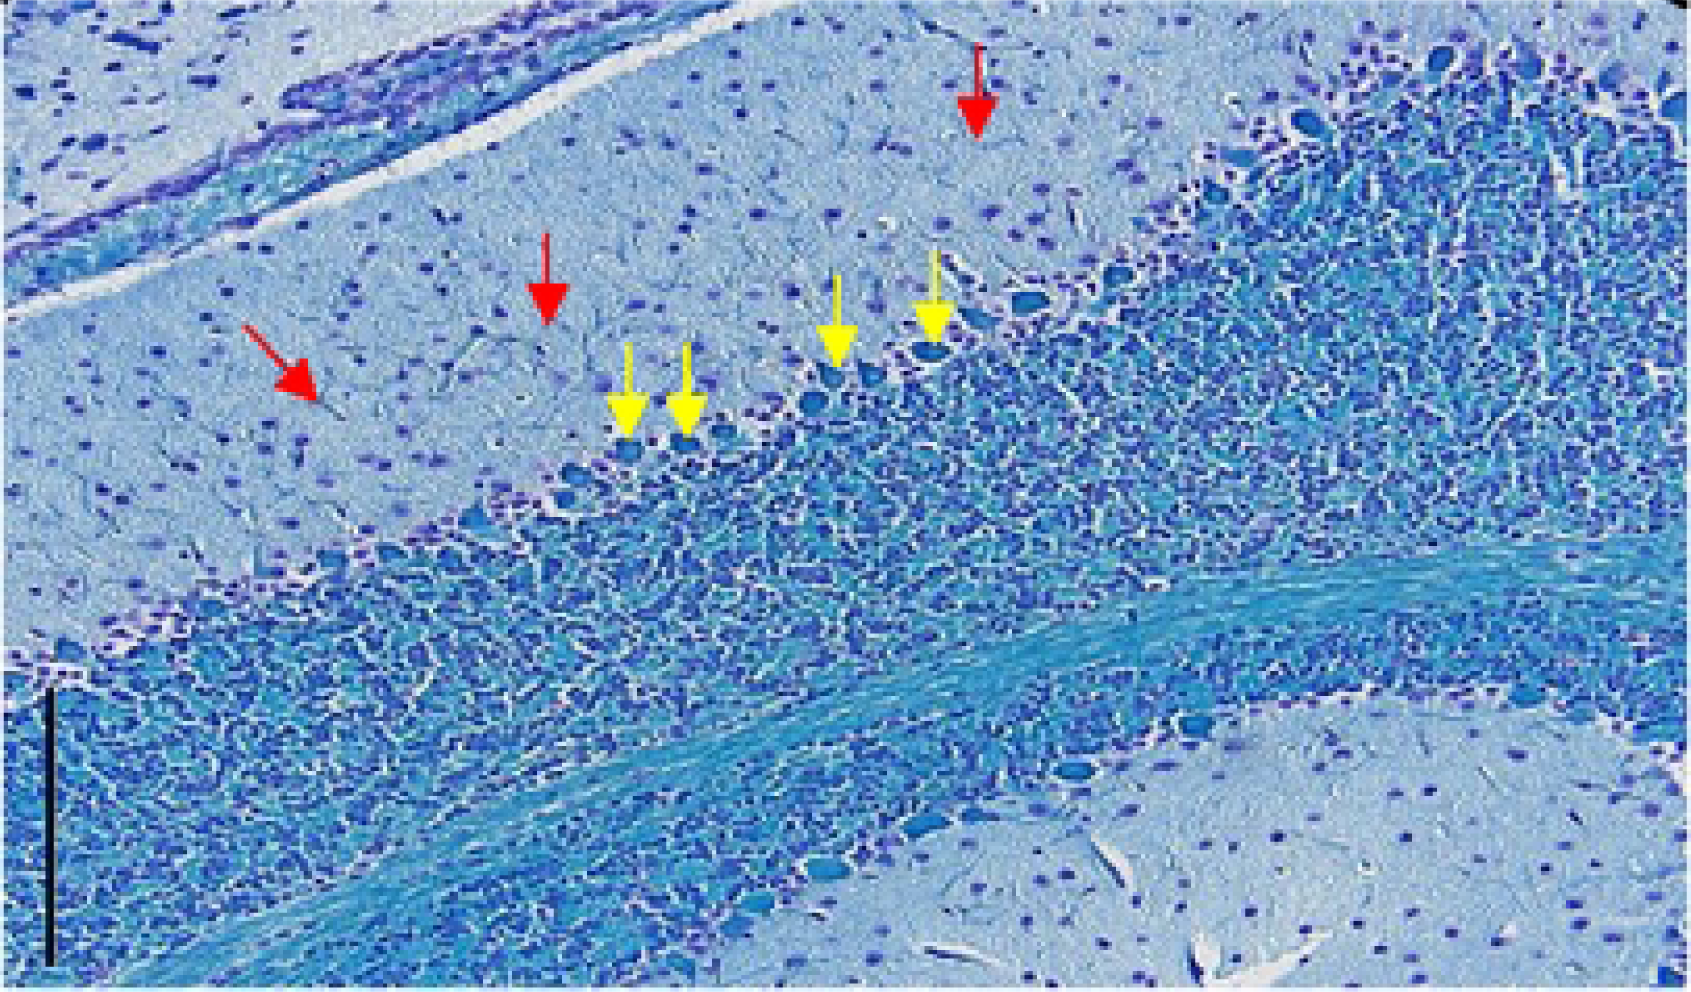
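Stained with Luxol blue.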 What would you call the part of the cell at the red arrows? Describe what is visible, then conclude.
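Dendritic extensions. The arrows point into the pale outer layer above the row of large cell bodies. Faint thin strands run through the pale layer.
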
